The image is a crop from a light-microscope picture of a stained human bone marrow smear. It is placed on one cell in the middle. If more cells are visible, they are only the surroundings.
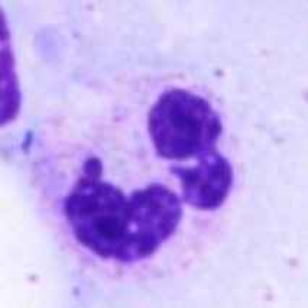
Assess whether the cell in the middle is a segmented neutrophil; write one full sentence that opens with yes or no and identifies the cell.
Yes, the middle of the crop is occupied by a segmented neutrophil.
